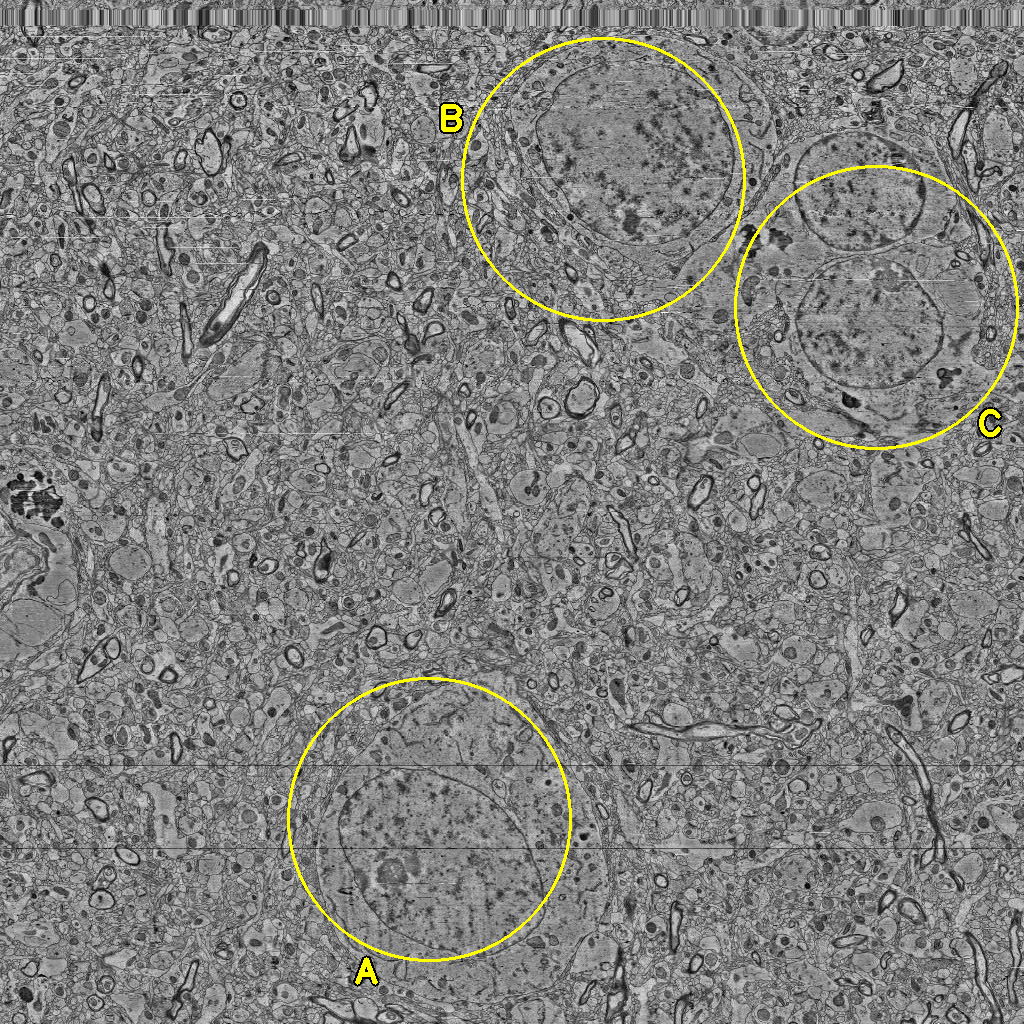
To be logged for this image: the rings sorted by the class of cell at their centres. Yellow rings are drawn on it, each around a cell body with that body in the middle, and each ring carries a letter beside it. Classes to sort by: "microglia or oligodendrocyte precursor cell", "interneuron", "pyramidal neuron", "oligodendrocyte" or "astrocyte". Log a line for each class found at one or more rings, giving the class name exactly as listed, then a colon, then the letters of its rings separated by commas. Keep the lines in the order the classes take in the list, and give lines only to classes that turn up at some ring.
pyramidal neuron: A, B
astrocyte: C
